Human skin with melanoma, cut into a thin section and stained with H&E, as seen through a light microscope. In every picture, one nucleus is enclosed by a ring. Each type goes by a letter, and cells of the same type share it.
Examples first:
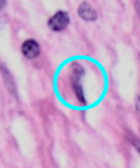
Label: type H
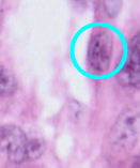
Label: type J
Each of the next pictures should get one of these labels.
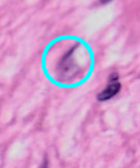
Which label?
type H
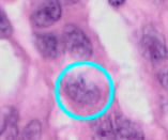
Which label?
type J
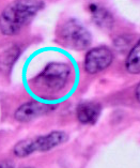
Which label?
type J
